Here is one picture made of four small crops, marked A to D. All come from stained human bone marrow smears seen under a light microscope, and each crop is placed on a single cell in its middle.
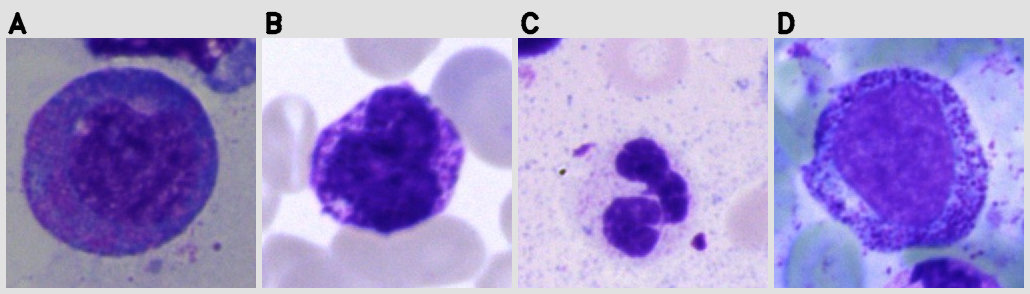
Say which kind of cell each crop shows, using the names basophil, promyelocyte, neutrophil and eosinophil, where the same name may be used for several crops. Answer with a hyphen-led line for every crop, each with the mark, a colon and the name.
- A: promyelocyte
- B: basophil
- C: neutrophil
- D: promyelocyte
